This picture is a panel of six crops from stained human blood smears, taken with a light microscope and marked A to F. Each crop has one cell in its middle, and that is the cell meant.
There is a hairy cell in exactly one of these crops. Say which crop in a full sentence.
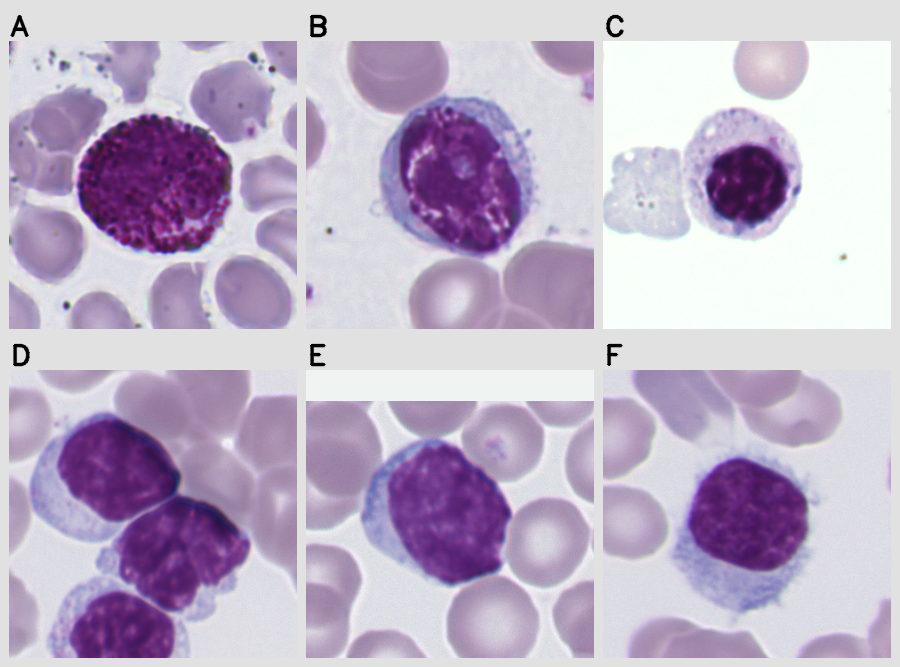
As for which crop shows a hairy cell, it is crop F.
